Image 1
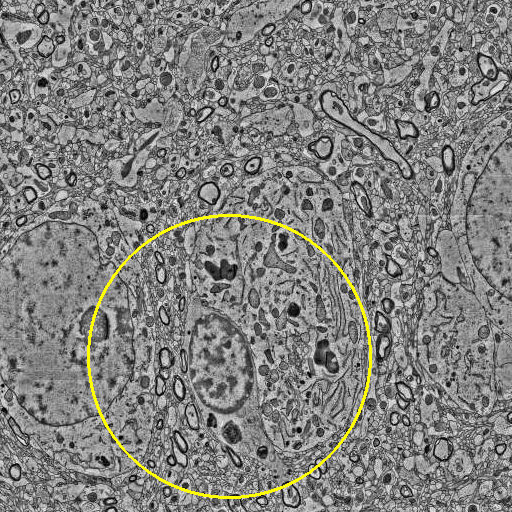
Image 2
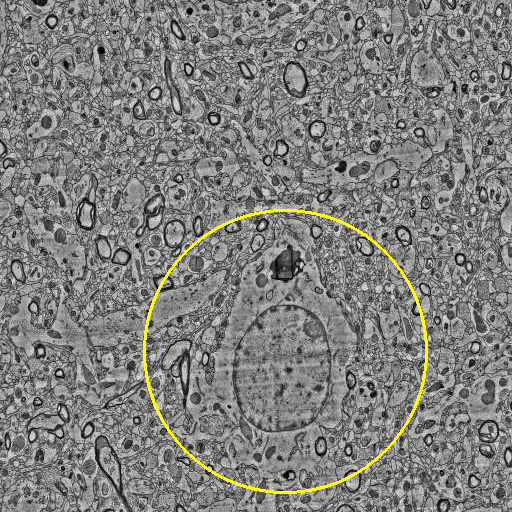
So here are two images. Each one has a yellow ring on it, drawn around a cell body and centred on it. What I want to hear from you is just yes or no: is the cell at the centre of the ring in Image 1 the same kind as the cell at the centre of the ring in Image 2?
no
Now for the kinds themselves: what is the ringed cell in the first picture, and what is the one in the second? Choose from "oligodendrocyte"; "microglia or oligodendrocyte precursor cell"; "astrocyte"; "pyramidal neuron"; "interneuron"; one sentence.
Here the first cell is an oligodendrocyte and the second cell is an astrocyte.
